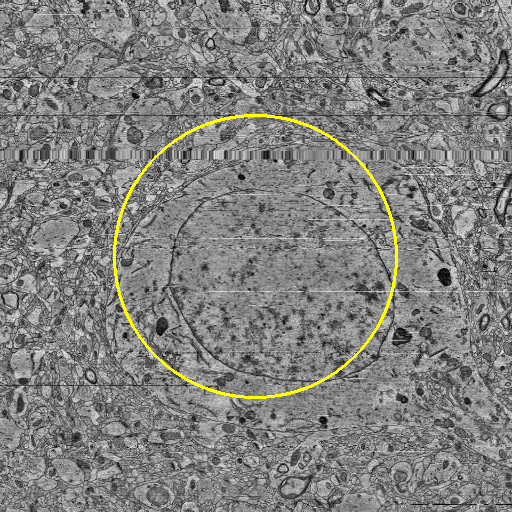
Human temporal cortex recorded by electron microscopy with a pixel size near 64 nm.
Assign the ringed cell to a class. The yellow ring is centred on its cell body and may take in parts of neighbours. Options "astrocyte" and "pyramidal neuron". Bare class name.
pyramidal neuron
